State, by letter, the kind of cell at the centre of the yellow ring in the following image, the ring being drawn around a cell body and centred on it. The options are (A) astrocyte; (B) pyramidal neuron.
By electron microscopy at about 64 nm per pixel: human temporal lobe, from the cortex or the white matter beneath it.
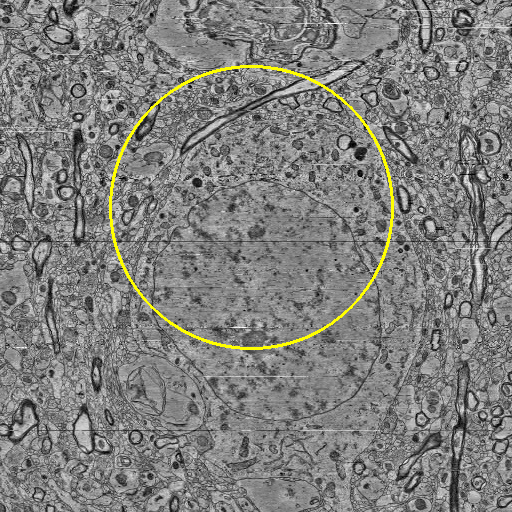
B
